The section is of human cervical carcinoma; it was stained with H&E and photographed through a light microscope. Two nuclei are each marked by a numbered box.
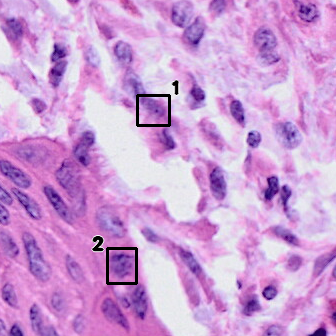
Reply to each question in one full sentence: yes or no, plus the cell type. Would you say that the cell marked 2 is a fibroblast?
No, the cell tagged 2 is a squamous carcinoma cell, and not a fibroblast.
